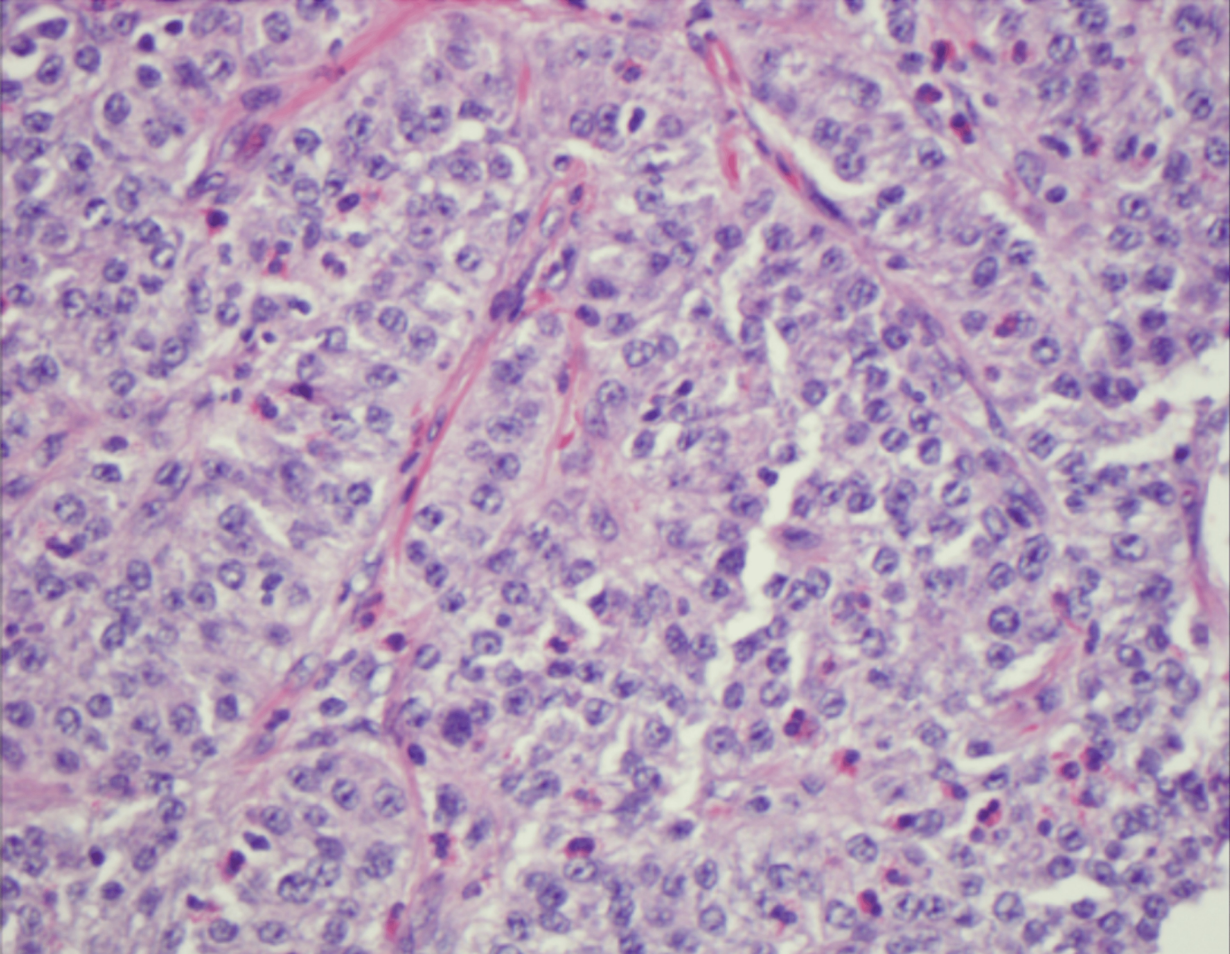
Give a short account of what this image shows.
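Here we are looking at a neuroendocrine tumor at high magnification. The tumor cells grow in solid nests and cords, separated by thin pink strands of connective tissue that carry small vessels and slender, elongated nuclei. The cytoplasm is moderate in amount, pale purplish-pink, and the borders between cells are indistinct. Small clefts open here and there within the nests, and a few scattered cells with dense, lobed nuclei lie among them.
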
